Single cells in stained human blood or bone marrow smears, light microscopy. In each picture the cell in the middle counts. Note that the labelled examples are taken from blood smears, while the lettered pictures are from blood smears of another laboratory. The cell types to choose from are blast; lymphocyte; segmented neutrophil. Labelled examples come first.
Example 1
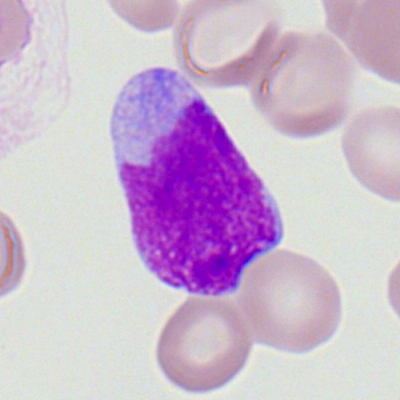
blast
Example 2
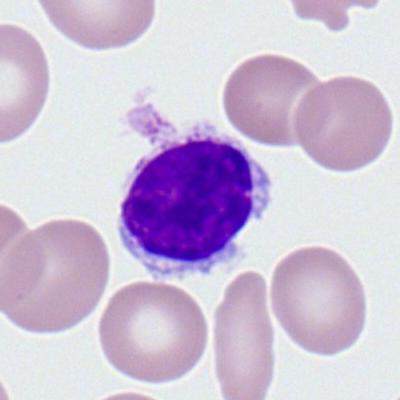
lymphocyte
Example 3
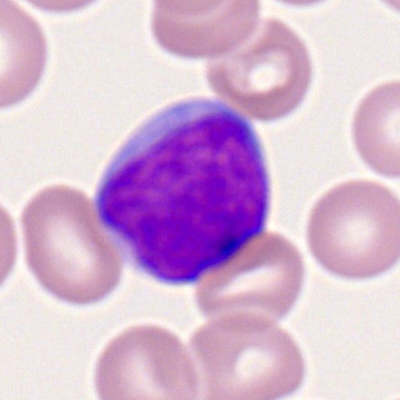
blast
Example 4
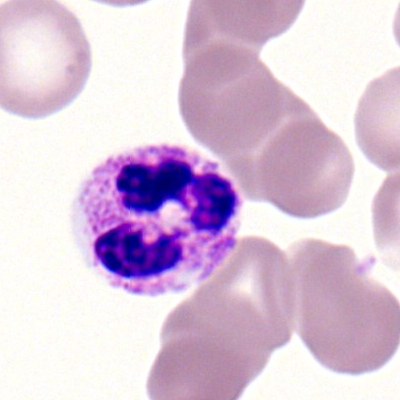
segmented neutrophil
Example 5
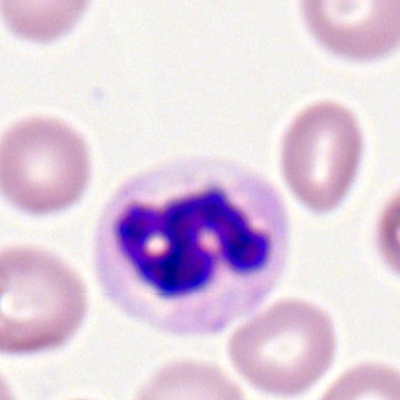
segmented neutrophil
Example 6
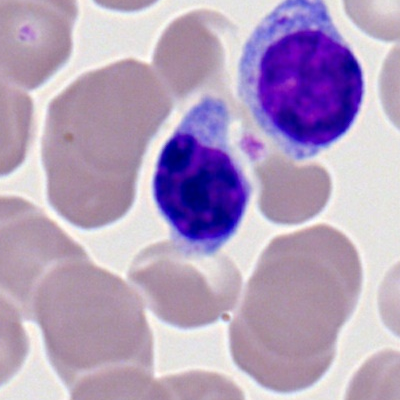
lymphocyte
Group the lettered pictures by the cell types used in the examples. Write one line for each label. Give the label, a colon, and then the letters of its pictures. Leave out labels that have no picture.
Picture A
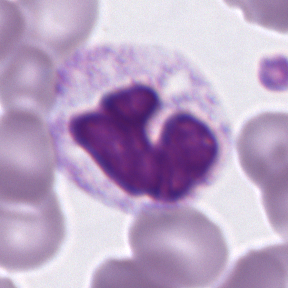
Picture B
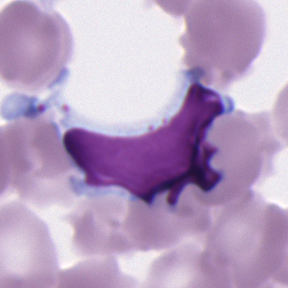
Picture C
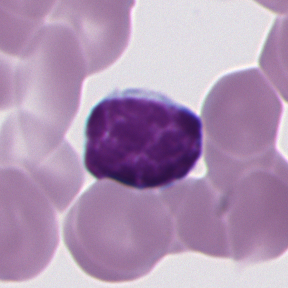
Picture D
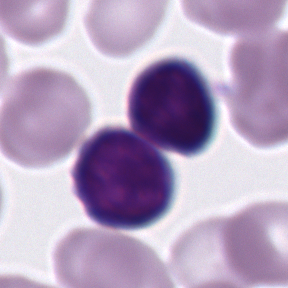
lymphocyte: B, C, D
segmented neutrophil: A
